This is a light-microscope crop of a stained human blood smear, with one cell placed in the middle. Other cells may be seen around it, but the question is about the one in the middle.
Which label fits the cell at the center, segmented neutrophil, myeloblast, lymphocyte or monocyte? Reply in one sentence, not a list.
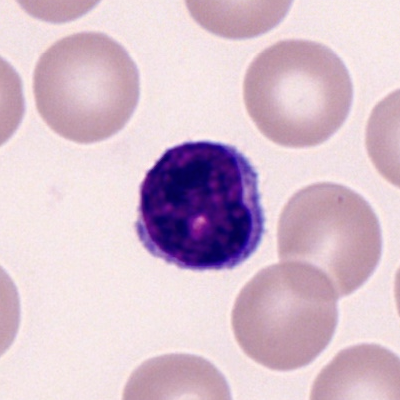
The central cell, amid any neighbouring cells, is a lymphocyte.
